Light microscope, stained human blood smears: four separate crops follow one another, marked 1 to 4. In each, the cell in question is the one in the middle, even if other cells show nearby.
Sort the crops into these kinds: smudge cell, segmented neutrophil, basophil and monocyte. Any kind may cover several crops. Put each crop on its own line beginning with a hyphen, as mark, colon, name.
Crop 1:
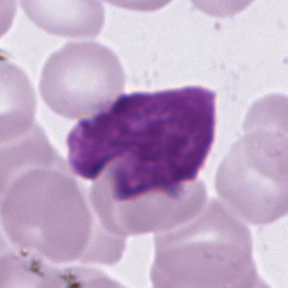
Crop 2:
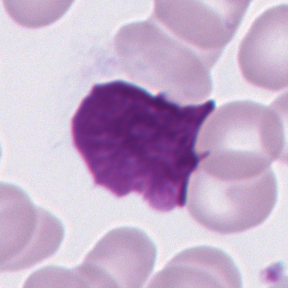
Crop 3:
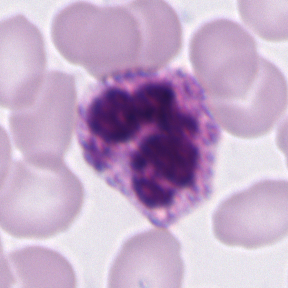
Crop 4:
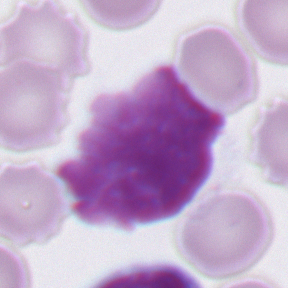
- 1: smudge cell
- 2: smudge cell
- 3: basophil
- 4: smudge cell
